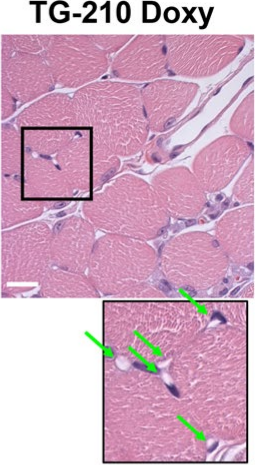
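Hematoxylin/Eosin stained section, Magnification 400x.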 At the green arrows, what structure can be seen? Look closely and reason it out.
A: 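Capillaries. The arrows point to small round or slit-like lumens between the pink fibers. The lumens are lined by thin walls with flattened dark nuclei.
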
